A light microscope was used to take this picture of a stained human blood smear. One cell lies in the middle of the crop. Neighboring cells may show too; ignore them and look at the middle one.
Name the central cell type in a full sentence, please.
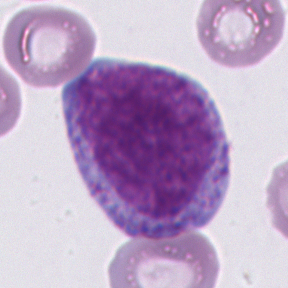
Regarding the central cell, it is a promyelocyte.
